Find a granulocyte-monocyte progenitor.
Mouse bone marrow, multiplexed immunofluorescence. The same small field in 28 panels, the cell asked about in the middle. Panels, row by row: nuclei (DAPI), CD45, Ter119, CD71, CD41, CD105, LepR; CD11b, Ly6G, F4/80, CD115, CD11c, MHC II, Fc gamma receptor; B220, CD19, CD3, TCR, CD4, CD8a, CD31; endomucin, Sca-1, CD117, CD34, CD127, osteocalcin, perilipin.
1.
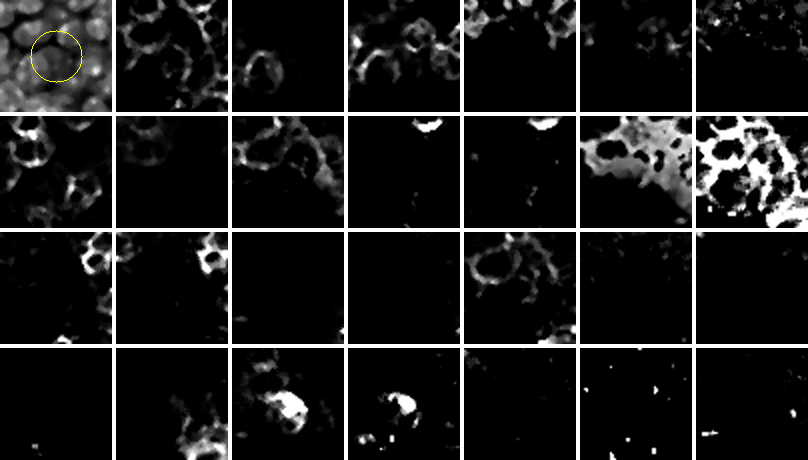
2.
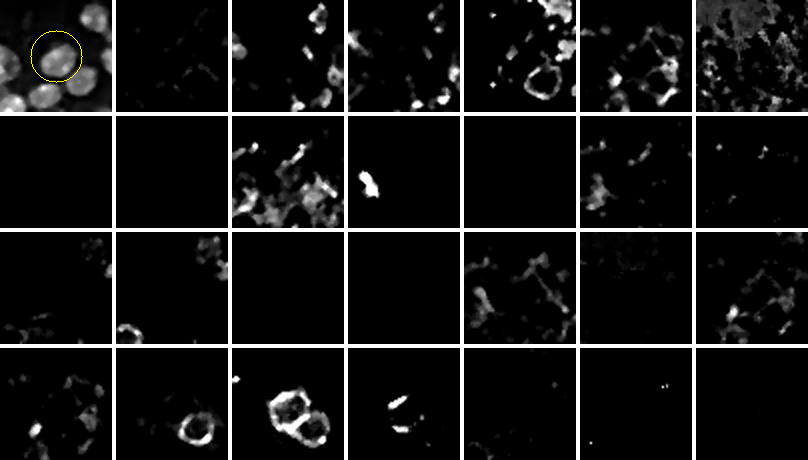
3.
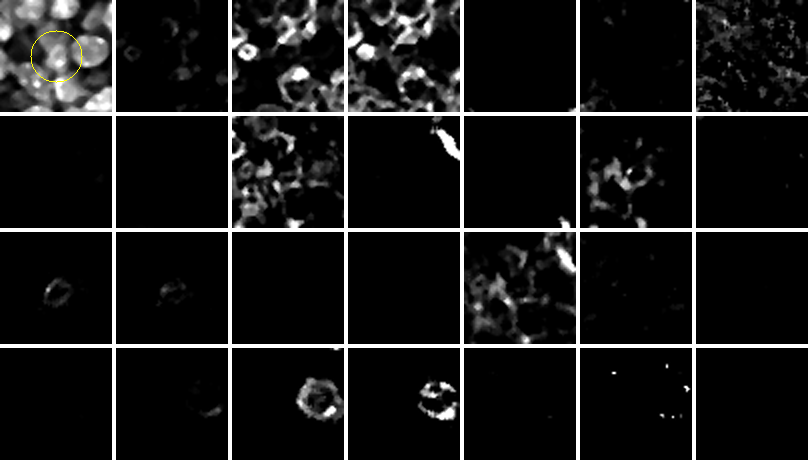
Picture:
1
